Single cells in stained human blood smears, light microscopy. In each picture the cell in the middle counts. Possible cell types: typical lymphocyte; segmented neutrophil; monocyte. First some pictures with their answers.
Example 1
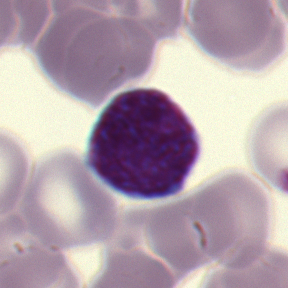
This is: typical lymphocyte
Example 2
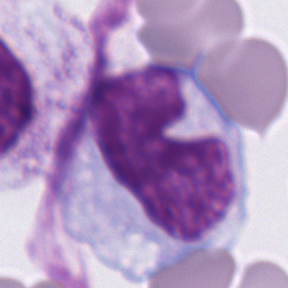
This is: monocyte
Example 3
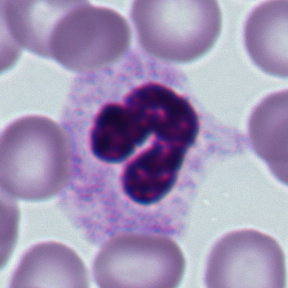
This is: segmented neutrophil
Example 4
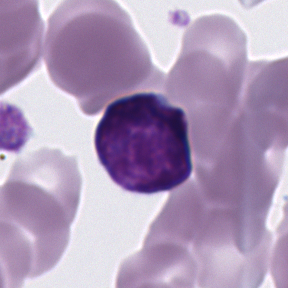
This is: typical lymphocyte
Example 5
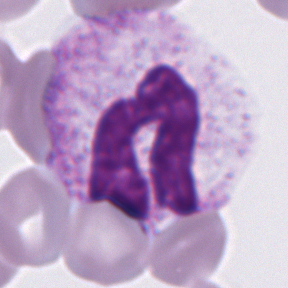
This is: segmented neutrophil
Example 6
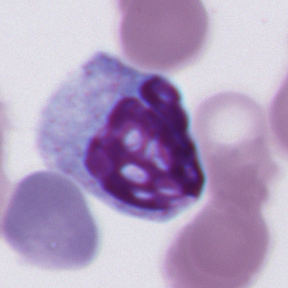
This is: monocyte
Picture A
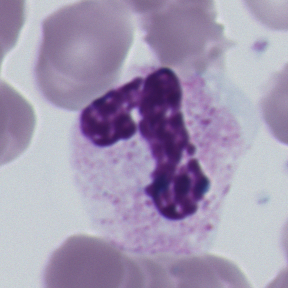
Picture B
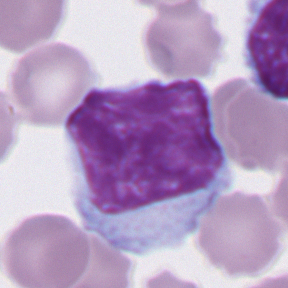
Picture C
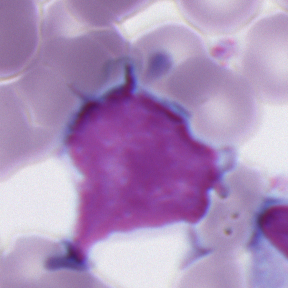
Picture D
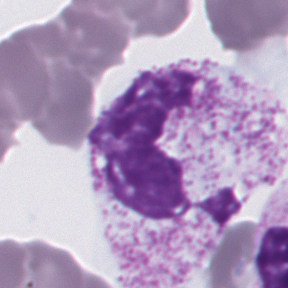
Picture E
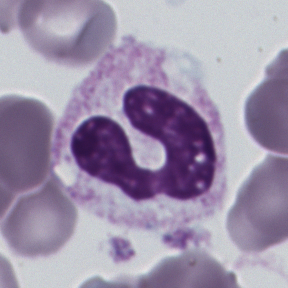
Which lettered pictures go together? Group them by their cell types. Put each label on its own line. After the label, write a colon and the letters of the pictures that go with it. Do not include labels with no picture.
typical lymphocyte: B, C
segmented neutrophil: A, D, E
